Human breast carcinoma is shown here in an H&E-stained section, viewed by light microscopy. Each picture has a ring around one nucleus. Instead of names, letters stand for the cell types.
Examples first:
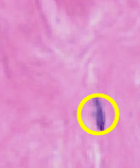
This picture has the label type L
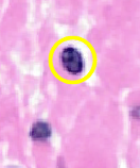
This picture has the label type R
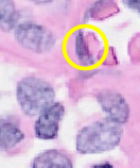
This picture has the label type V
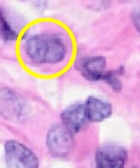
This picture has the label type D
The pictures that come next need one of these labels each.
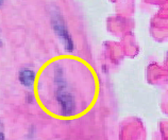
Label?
type V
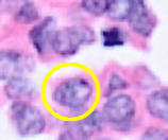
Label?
type D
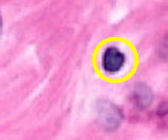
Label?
type R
